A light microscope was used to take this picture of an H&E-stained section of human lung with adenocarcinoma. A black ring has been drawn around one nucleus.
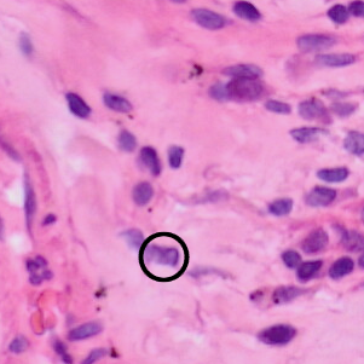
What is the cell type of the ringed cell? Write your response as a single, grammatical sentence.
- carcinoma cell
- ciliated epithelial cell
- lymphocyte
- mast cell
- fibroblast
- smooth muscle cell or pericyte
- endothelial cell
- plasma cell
The identity of the ringed cell is that of a fibroblast.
